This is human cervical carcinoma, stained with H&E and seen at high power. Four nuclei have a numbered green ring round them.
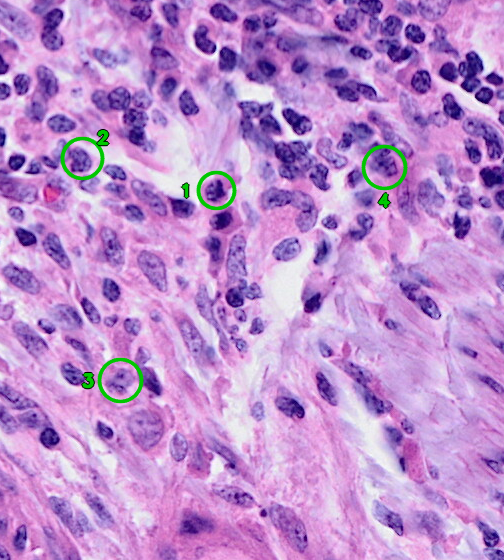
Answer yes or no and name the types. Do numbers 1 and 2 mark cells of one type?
Yes, cells 1 and 2 both belong among the lymphocytes.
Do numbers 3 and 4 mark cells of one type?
No, listen: cell 3 is a macrophage or monocyte and cell 4 is a lymphocyte.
